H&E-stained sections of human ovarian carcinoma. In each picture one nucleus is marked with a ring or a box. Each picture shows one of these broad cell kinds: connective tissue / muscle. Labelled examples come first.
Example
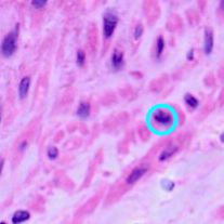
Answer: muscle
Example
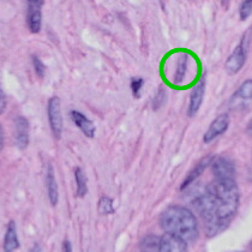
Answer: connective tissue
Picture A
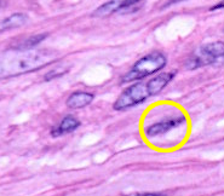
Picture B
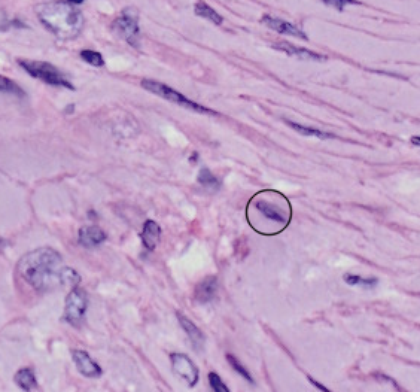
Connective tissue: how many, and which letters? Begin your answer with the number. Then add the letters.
2, namely A, B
